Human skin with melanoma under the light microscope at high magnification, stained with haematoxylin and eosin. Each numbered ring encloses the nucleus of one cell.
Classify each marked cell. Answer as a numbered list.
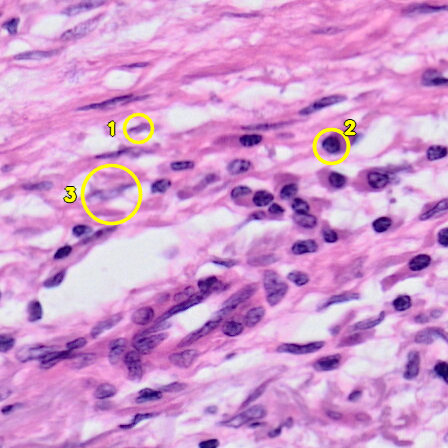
1. fibroblast or myofibroblast
2. plasma cell
3. fibroblast or myofibroblast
